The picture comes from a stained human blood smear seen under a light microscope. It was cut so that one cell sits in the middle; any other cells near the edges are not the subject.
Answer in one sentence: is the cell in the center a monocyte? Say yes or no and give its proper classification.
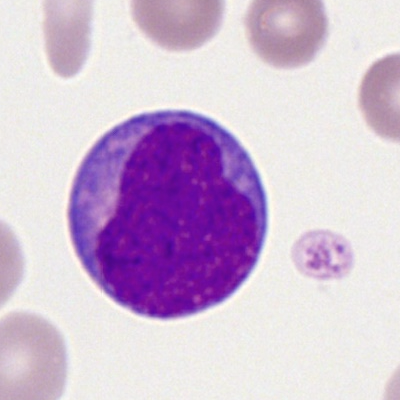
No, the central cell here is a blast; calling it a monocyte is not right.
